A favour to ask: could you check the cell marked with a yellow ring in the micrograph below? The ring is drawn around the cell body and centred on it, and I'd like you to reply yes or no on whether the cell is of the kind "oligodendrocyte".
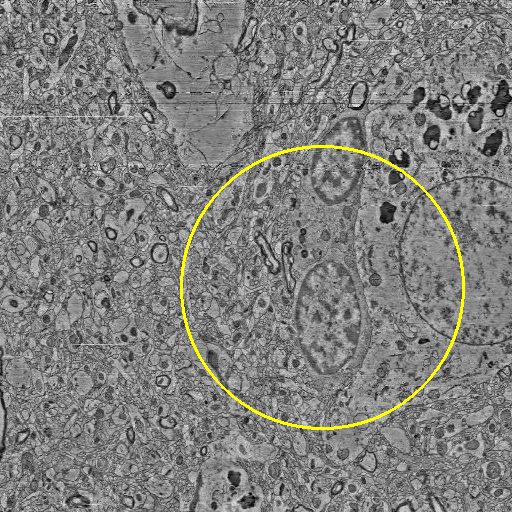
yes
